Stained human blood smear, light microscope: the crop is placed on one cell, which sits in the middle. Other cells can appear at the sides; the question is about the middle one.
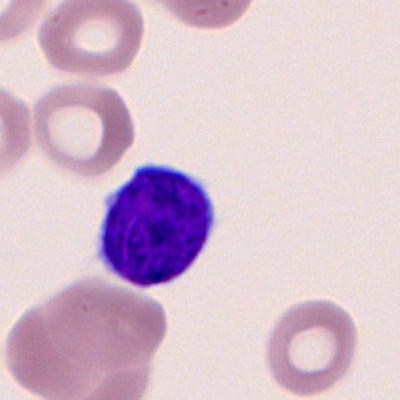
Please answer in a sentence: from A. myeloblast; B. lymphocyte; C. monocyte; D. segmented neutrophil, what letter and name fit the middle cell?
The correct option here is B; the middle cell is a lymphocyte.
